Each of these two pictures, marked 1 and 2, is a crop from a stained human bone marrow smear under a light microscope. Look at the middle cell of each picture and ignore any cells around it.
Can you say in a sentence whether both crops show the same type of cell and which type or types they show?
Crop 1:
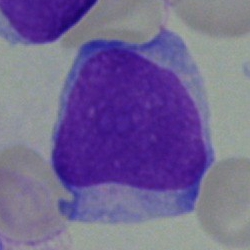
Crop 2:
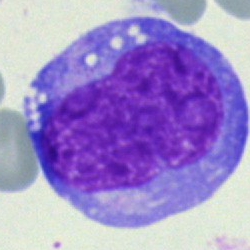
Yes, the cells in both crops are blasts.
